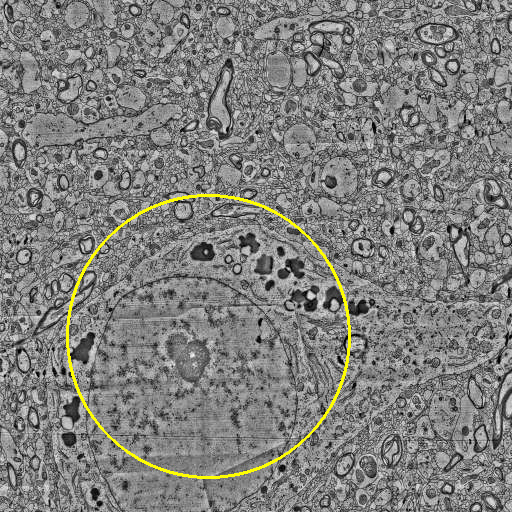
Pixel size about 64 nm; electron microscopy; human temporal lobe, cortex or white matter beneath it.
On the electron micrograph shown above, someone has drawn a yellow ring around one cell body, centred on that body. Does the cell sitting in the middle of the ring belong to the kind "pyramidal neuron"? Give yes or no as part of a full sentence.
Yes, the cell located in the middle of the ring in the micrograph is of that kind.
